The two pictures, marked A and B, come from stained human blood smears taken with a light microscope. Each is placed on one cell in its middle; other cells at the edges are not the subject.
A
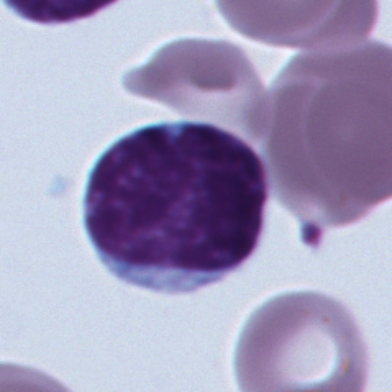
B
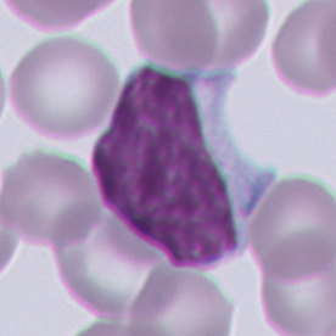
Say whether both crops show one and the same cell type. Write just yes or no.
yes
